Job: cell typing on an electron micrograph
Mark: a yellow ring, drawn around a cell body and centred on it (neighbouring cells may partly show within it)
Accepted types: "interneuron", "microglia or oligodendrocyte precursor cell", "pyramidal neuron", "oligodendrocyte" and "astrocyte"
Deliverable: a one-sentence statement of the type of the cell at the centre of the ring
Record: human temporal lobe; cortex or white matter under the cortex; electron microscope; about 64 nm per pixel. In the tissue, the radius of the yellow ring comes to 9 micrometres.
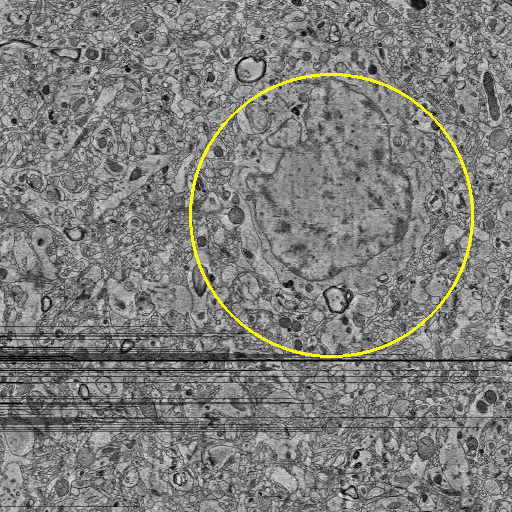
The centred cell body is that of an interneuron.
